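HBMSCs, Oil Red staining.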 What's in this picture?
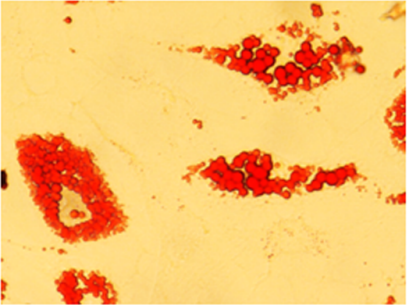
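The droplets are grouped in compact clusters, each cluster roughly taking the outline of one cell body. Individual droplets vary in size, with larger rounded ones mixed among smaller ones. Between the stained cells the background is pale yellow, with only faint outlines of unstained cells and a few scattered tiny red specks.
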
